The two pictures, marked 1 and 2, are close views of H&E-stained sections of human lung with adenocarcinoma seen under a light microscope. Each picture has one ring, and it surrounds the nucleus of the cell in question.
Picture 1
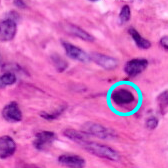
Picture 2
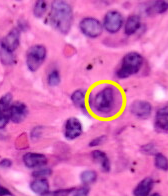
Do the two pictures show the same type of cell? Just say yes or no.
yes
